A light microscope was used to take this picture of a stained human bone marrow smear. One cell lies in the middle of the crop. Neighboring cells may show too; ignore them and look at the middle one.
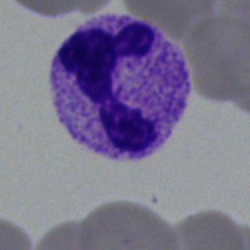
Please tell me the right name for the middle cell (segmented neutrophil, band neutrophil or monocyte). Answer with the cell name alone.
segmented neutrophil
